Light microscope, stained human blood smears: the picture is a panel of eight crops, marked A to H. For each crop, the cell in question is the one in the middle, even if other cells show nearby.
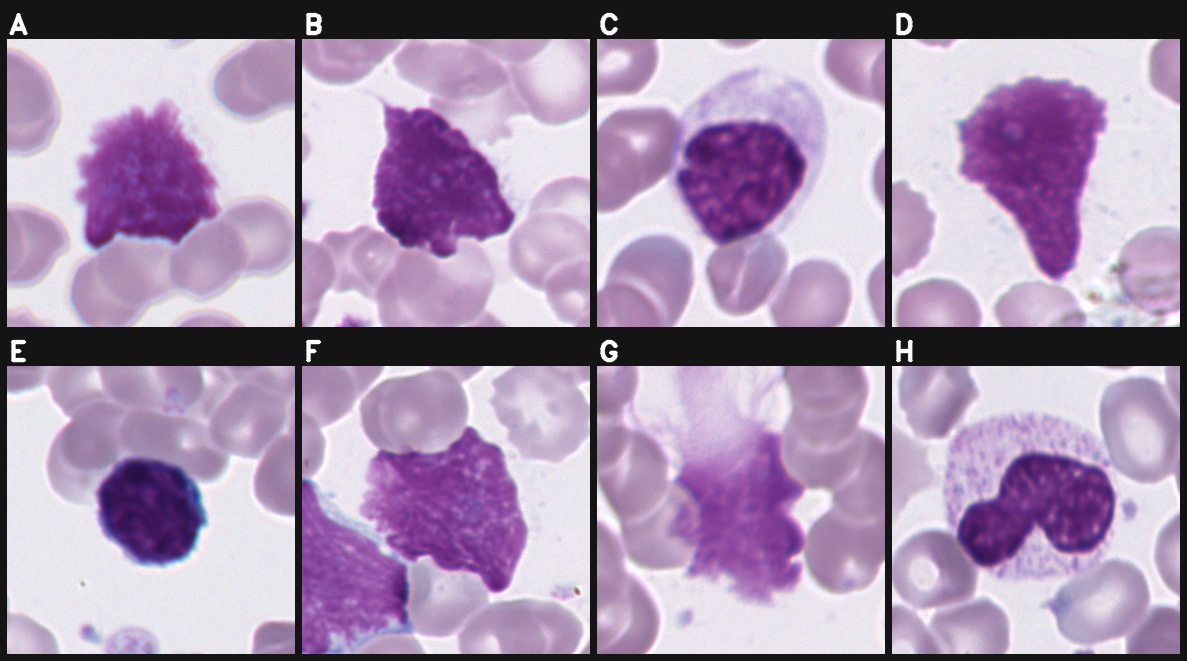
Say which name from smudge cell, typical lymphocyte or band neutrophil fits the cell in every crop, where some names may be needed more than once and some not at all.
A: smudge cell
B: smudge cell
C: band neutrophil
D: smudge cell
E: typical lymphocyte
F: smudge cell
G: smudge cell
H: band neutrophil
